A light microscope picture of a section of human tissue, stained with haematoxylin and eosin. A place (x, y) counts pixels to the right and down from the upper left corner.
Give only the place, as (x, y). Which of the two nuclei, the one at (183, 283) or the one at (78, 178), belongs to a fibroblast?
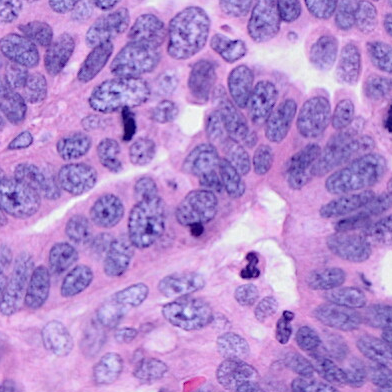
(183, 283)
